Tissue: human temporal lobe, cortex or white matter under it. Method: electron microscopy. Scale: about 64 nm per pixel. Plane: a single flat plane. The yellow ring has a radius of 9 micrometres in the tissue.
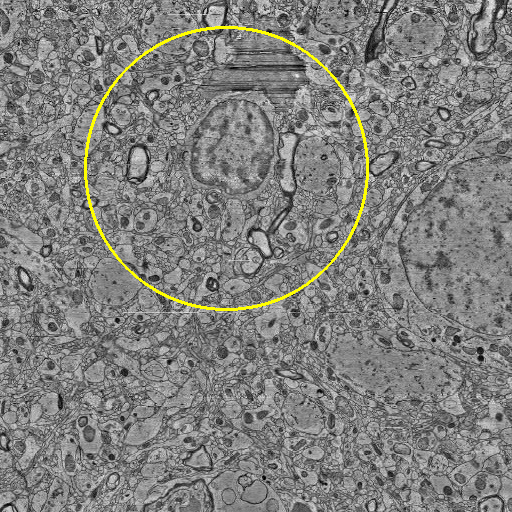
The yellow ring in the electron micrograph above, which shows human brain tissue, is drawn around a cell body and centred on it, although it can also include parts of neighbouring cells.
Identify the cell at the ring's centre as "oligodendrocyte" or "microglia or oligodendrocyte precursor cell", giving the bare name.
oligodendrocyte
